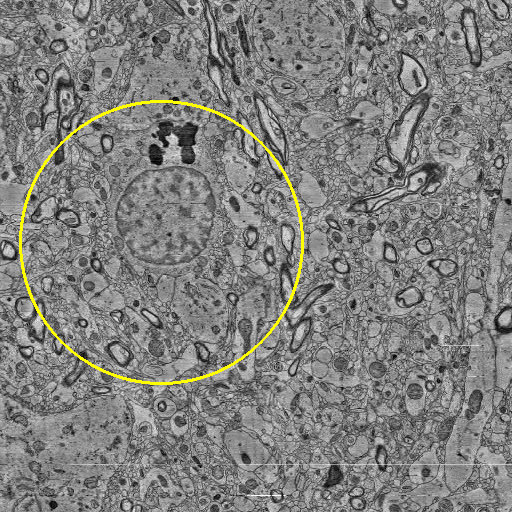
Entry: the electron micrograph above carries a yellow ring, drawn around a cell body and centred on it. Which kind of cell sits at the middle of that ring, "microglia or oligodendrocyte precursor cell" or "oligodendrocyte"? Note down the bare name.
oligodendrocyte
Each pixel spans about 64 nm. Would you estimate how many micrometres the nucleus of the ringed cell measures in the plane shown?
About 7 micrometres across in this plane.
